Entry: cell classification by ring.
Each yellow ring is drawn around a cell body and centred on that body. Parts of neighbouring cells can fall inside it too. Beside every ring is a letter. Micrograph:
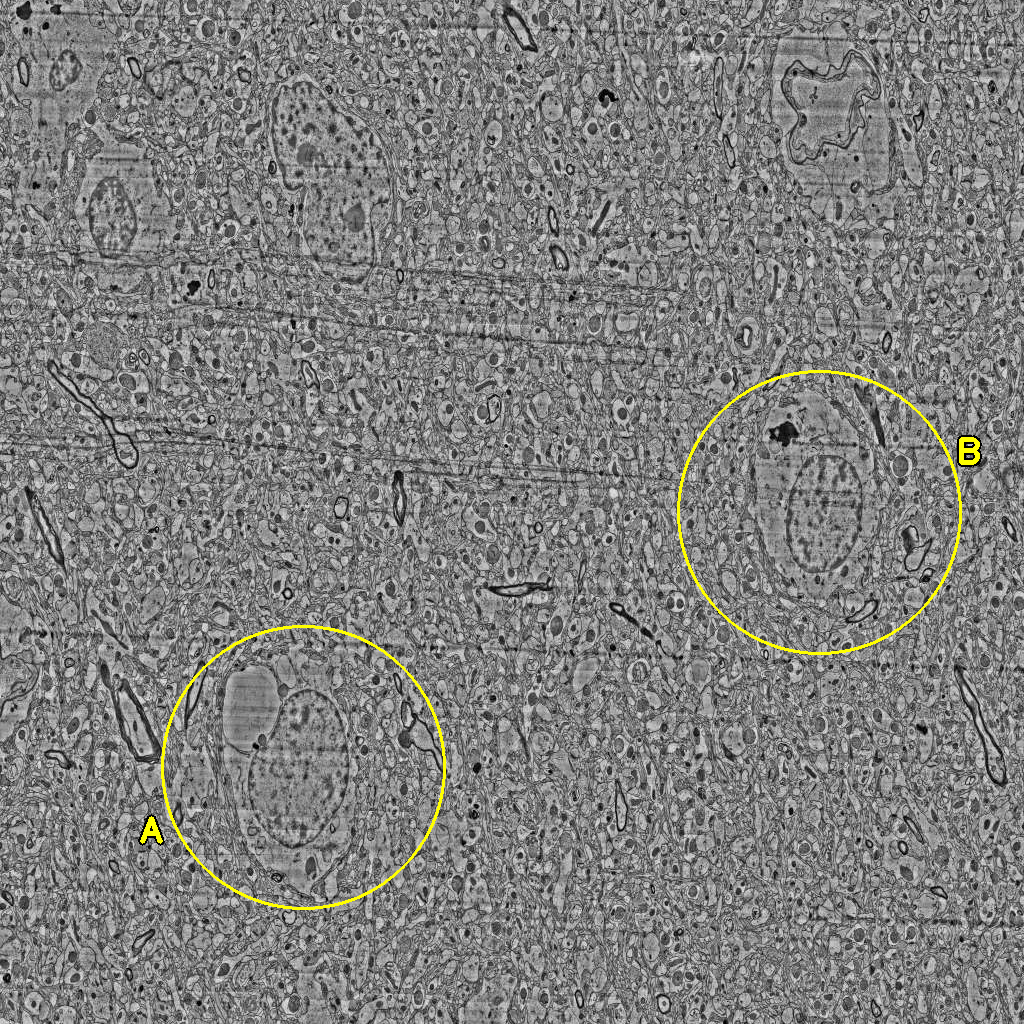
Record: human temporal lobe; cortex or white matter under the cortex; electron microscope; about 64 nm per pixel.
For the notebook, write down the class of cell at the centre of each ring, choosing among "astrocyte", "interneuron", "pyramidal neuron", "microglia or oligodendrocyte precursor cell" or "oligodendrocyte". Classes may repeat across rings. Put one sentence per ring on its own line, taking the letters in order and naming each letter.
Ring A marks an astrocyte.
Ring B marks an astrocyte.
